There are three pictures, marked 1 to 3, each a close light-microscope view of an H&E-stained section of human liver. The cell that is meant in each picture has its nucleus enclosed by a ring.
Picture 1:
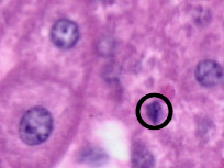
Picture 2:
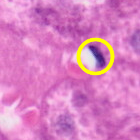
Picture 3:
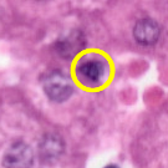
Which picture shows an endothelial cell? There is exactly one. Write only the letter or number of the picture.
2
